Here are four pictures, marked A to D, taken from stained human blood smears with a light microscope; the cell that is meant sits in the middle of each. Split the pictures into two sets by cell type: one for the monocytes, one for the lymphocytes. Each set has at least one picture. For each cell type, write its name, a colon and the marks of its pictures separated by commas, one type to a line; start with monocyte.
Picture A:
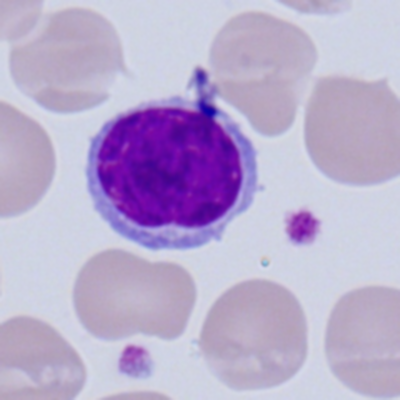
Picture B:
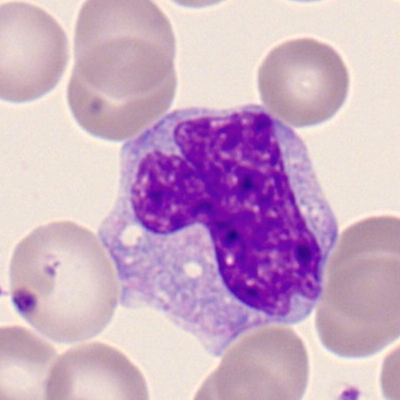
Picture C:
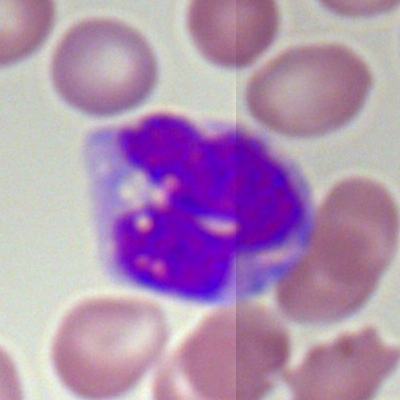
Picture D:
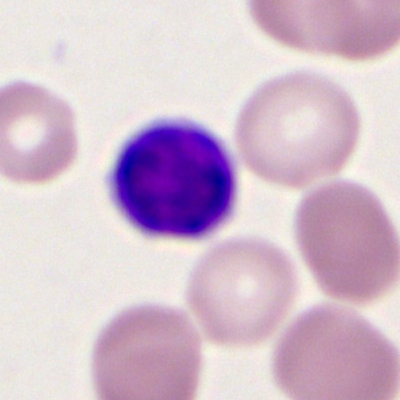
monocyte: B, C
lymphocyte: A, D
